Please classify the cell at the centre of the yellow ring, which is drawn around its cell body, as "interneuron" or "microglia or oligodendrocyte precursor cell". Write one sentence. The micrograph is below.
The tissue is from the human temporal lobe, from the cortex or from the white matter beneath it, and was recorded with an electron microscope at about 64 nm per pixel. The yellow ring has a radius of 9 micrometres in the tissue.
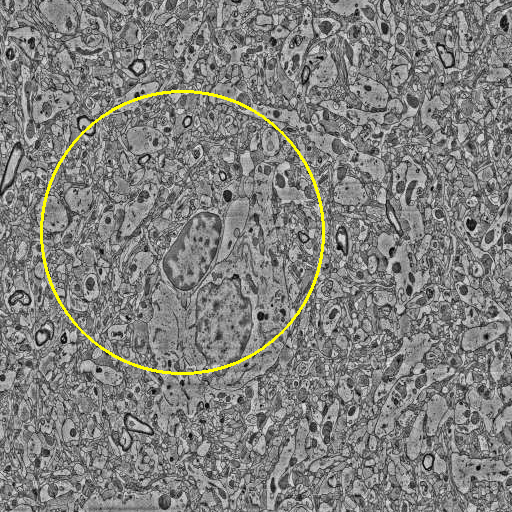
The cell at the ring's centre is classified as a microglial cell or oligodendrocyte precursor cell.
